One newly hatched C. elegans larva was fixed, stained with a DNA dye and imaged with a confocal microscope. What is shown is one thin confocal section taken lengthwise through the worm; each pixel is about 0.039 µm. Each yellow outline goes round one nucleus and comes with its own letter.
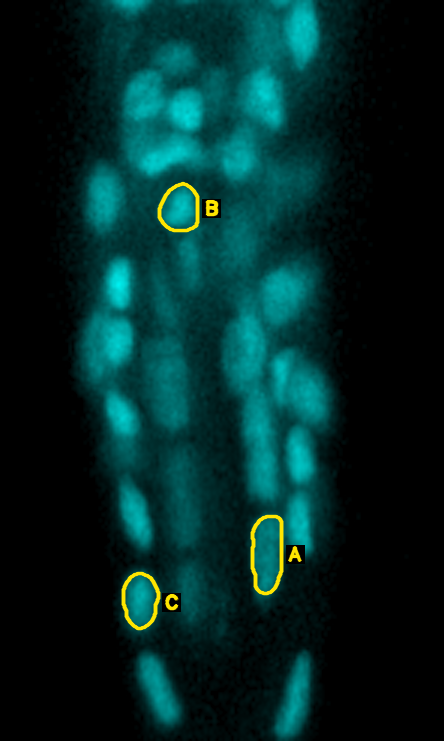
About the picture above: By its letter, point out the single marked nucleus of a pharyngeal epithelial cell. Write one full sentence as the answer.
A is the nucleus of a pharyngeal epithelial cell.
